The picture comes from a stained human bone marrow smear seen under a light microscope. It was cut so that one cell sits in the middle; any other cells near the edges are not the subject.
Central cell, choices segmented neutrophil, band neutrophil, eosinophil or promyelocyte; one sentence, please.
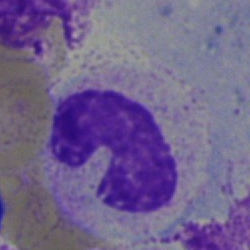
The cell at the heart of this crop is a band neutrophil.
